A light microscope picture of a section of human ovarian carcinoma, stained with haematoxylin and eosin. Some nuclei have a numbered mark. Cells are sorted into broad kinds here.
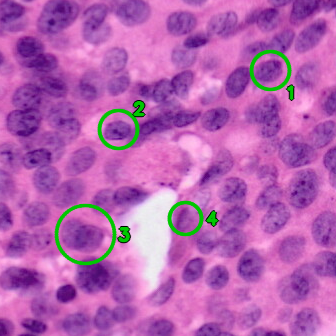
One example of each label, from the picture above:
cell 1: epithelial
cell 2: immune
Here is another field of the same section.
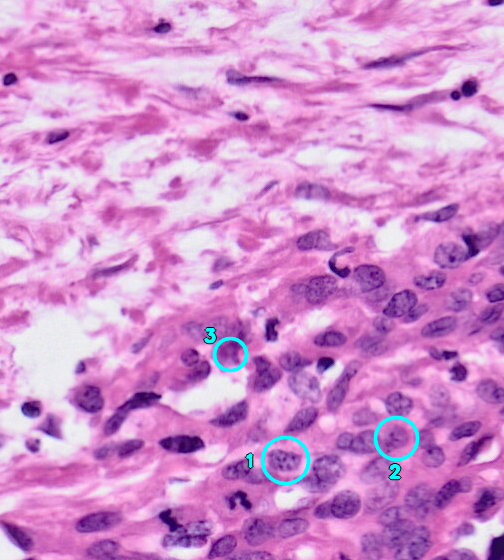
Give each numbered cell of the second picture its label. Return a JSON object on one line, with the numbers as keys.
{"1": "immune", "2": "epithelial", "3": "epithelial"}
